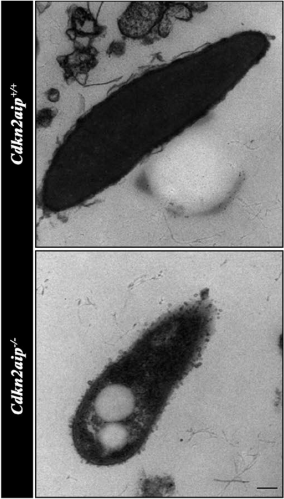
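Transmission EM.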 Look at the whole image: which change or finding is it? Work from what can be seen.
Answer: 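The lower head is shorter and wider at one end than the upper one. The lower head contains two pale round spaces. On this evidence: Abnormal sperm head.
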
